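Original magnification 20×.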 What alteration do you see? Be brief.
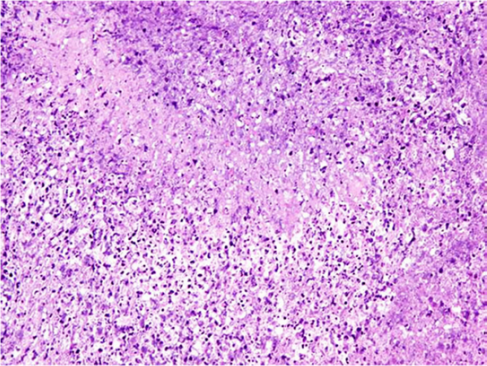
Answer: Basophilic necrosis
